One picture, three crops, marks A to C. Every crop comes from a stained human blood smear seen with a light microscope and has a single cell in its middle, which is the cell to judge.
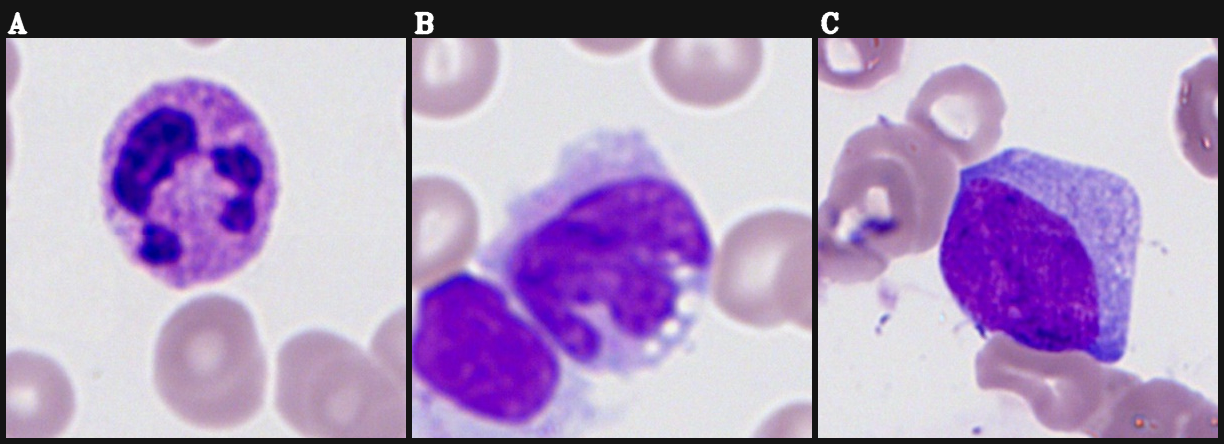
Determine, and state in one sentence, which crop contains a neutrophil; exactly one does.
It is in crop A, among all the crops, that a neutrophil is present.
